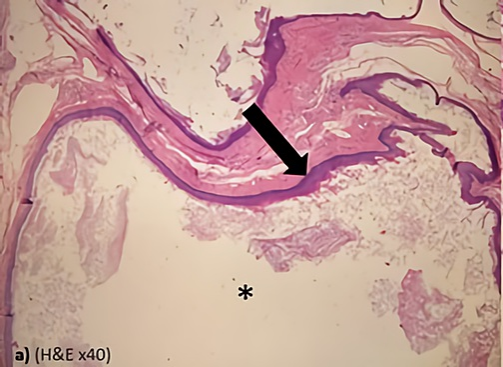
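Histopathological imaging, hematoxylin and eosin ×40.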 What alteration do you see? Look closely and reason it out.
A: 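The cavity contains loose pale pink flaky material. Fibrous pink tissue surrounds the lining.
Epidermoid cyst.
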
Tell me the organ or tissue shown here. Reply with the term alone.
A: Stratified squamous epithelium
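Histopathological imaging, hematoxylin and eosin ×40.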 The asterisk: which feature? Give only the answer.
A: Keratin.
